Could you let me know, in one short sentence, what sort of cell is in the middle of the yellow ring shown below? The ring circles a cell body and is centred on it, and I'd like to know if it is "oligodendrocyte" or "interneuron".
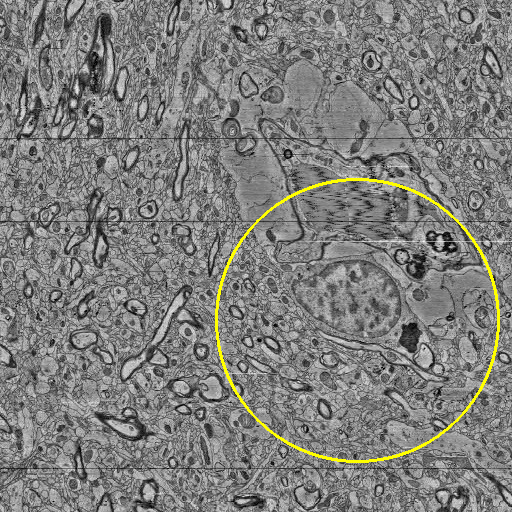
The ring circles the cell body of an oligodendrocyte.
